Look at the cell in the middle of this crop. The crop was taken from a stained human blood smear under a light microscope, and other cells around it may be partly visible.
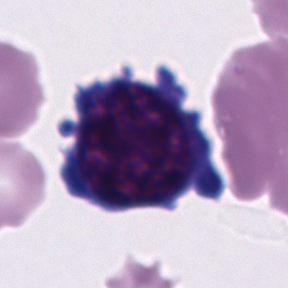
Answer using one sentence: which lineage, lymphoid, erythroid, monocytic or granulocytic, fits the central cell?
Lineage assignment for the central cell is erythroid.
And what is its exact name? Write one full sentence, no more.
Standing at the centre of this crop is a normoblast.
